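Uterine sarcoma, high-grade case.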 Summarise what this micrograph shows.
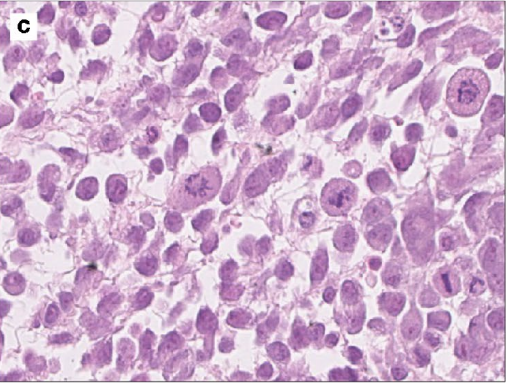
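Several cells are in mitosis, their chromosomes condensed into dark clumps. The cells lie loosely, separated by small clear spaces and wisps of stroma.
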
